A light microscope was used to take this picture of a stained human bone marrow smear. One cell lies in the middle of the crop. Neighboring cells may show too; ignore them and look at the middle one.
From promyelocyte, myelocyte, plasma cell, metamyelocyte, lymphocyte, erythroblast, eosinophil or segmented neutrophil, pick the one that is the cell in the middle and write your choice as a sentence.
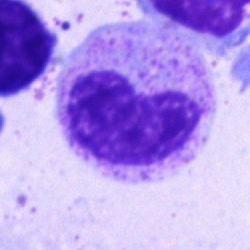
At the crop's centre, the cell is a metamyelocyte.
